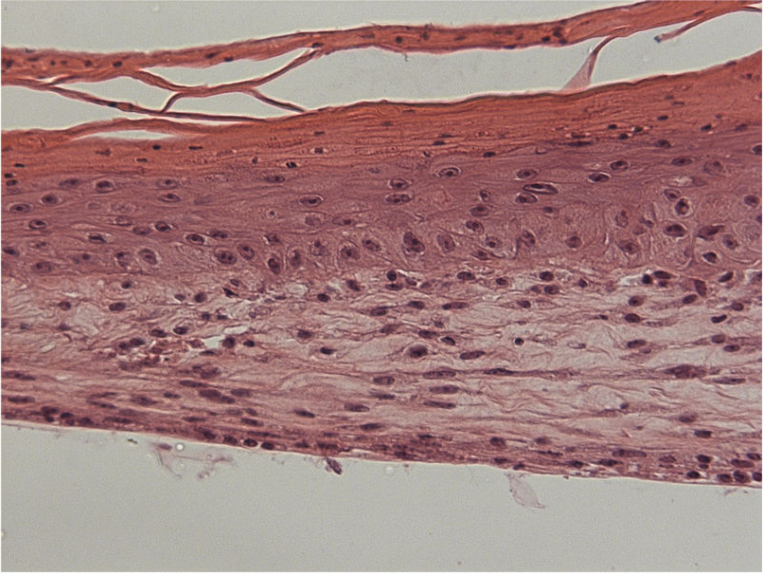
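A stratified pink epithelium sits on a pale, fibrous connective layer containing many elongated dark nuclei. Epithelial nuclei are round to oval near the base and flatten toward the top, where dense pink laminated sheets cover the surface and partly detach. The arrangement resembles epidermis with terminally differentiated surface layers over dermis with fibroblasts.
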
